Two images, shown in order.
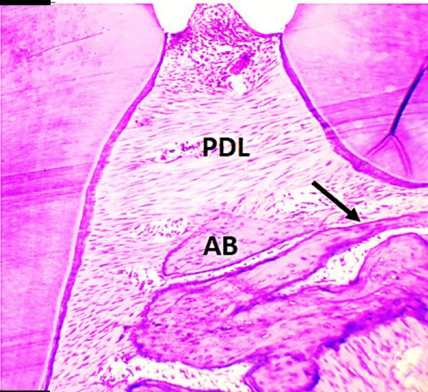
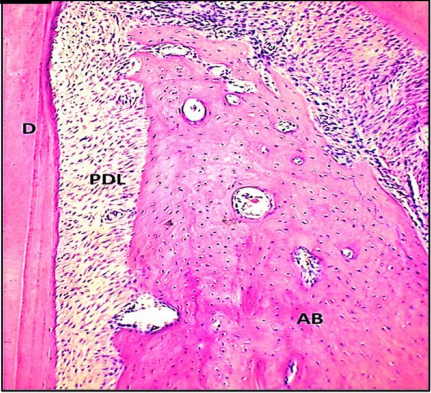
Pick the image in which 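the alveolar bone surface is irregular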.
the first image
